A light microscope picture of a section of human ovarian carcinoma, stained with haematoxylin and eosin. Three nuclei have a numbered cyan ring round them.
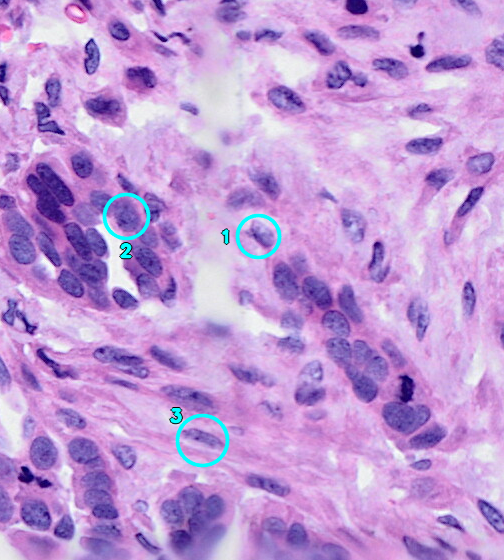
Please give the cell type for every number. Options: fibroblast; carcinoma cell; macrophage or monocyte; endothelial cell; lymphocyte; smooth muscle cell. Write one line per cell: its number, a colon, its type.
1: fibroblast
2: carcinoma cell
3: fibroblast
